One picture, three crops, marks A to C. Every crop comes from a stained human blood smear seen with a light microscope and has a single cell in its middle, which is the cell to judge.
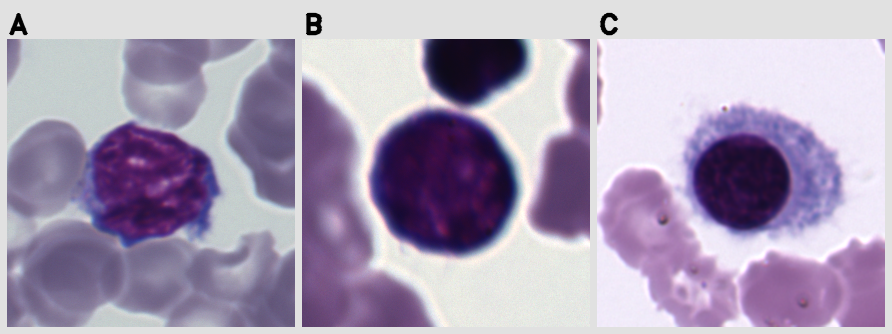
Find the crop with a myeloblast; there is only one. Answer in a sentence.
Crop B is the one to choose: it shows a myeloblast.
